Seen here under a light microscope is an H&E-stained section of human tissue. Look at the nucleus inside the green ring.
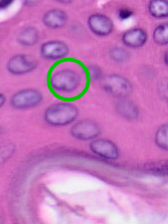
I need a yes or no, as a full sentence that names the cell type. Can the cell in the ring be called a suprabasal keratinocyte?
Yes, the classification of the cell in the ring as a suprabasal keratinocyte is accurate.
